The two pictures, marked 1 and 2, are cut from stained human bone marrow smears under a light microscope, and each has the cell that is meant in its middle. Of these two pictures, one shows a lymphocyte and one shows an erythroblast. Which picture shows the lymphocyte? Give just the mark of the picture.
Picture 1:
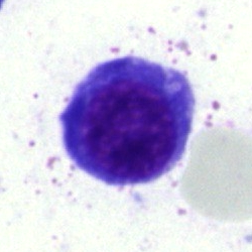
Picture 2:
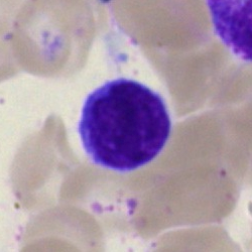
2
